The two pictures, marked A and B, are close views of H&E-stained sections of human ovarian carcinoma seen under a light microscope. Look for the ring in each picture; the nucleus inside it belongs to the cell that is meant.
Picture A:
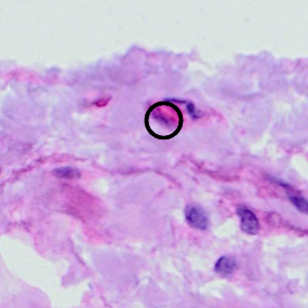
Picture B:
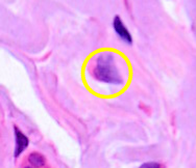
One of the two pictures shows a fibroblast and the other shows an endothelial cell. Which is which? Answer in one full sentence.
In picture A the cell is an endothelial cell; in picture B, a fibroblast.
